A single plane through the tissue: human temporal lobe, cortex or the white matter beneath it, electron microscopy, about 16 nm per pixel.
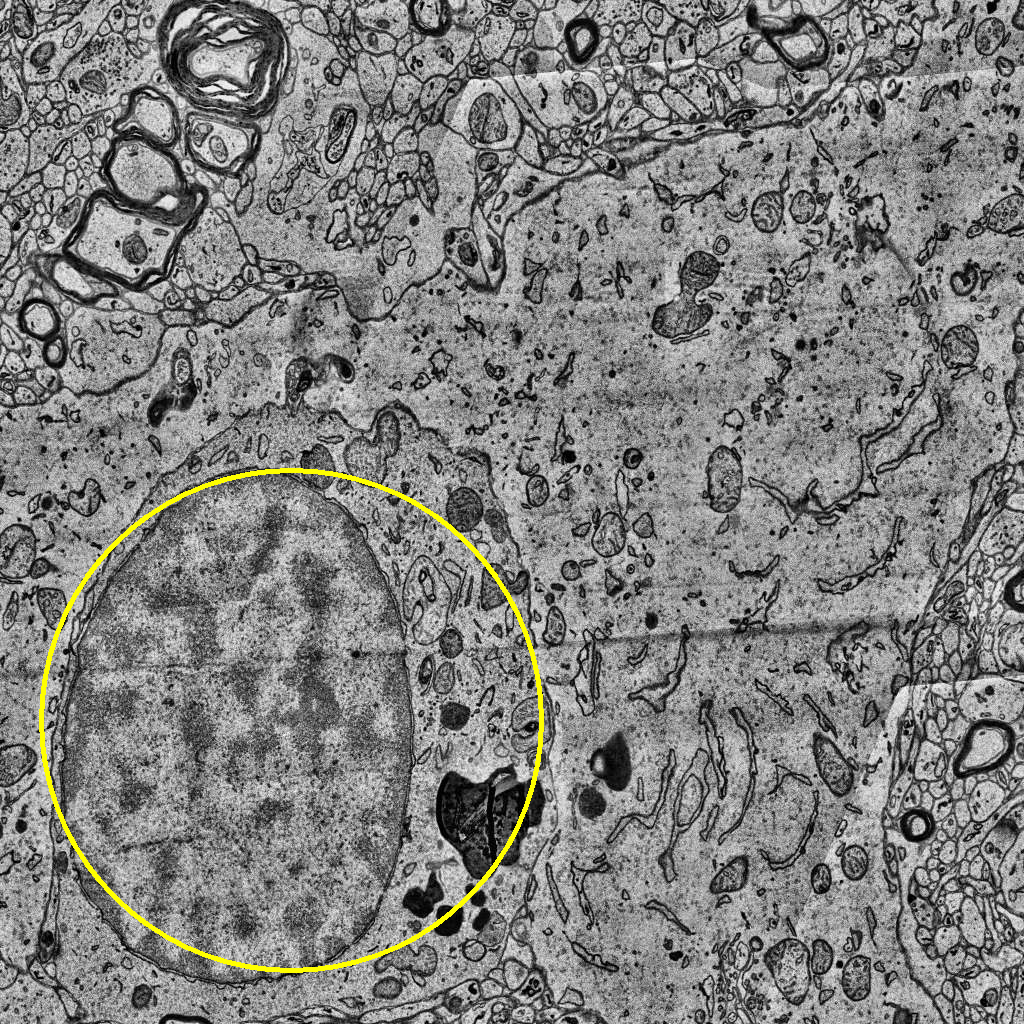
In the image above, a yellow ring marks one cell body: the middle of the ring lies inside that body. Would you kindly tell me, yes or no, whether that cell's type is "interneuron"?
no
